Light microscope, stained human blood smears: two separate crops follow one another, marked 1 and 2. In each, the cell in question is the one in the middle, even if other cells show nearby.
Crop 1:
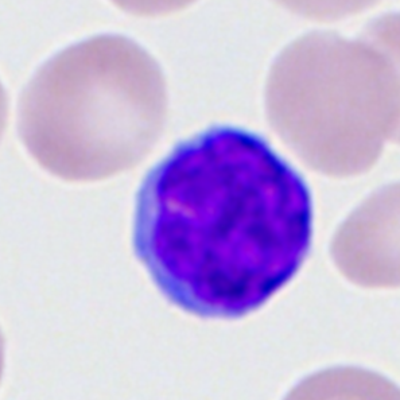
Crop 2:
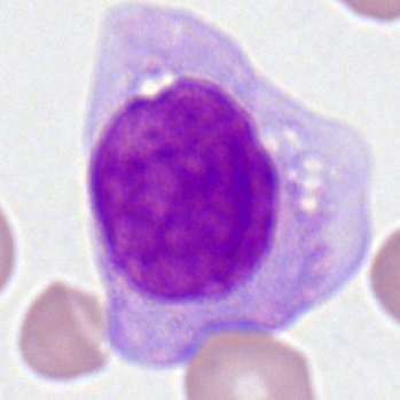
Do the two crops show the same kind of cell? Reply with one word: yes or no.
no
